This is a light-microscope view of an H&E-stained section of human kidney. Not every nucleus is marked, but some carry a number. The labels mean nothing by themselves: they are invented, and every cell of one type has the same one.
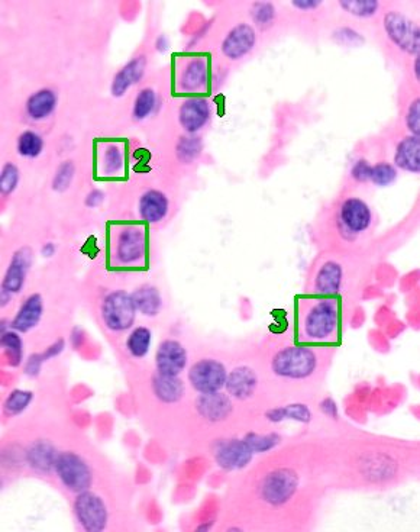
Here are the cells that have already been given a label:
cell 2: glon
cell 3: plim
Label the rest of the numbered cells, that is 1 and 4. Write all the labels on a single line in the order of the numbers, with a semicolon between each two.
plim; plim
